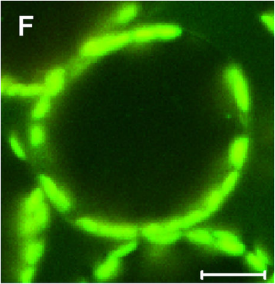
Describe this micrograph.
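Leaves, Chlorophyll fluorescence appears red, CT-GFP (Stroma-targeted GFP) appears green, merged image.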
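A single large, nearly round leaf mesophyll cell fills the view, its centre dark and featureless. Elongated oval green bodies are lined up along its boundary, in a single ring, with parts of neighbouring cells showing the same arrangement at the corners.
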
